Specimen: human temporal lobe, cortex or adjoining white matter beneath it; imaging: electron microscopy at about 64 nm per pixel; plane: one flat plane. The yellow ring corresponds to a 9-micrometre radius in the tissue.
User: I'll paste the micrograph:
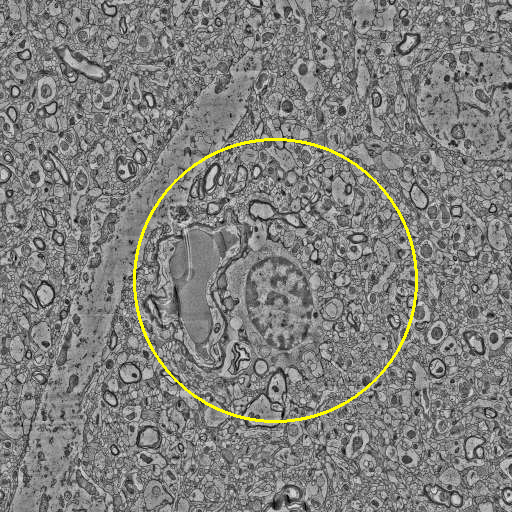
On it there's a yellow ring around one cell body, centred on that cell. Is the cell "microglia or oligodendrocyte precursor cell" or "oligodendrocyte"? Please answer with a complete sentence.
The cell ringed in yellow is an oligodendrocyte.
